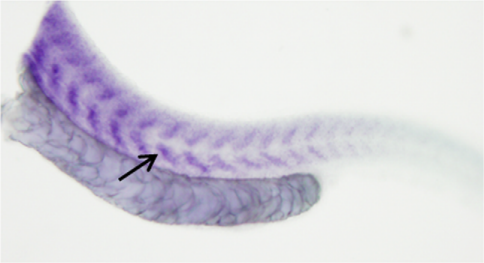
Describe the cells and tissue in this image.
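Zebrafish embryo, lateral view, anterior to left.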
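Purple stain picks out a row of repeated V-shaped bands along the trunk, following the chevron-shaped somites at their boundaries. The stain is strongest toward the front and fades toward the tail tip, which stays pale. Below the trunk the yolk extension looks grey with a pebbly, net-like surface.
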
